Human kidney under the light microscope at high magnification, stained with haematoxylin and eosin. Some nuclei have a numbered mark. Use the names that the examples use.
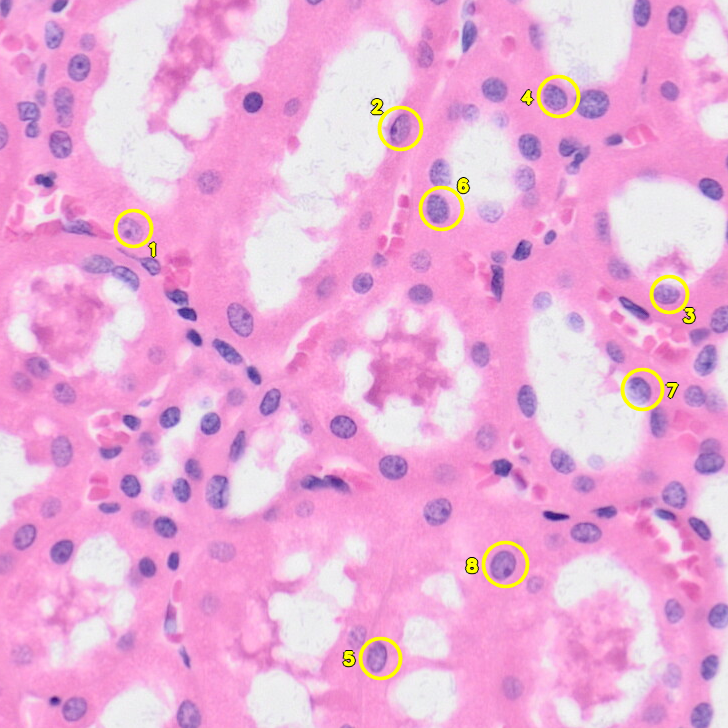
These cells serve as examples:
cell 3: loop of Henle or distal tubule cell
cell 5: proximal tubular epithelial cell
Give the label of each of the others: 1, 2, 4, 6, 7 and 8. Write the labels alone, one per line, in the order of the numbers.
proximal tubular epithelial cell
proximal tubular epithelial cell
loop of Henle or distal tubule cell
loop of Henle or distal tubule cell
loop of Henle or distal tubule cell
proximal tubular epithelial cell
